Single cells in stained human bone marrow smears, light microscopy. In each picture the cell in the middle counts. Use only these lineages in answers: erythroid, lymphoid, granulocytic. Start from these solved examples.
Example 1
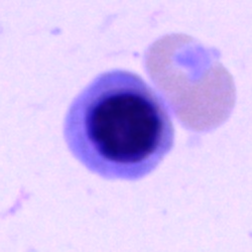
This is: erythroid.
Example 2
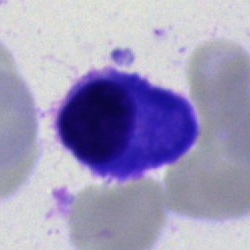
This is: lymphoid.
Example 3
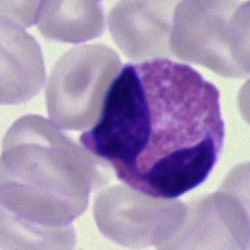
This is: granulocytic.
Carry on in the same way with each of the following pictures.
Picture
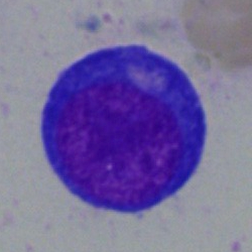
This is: erythroid.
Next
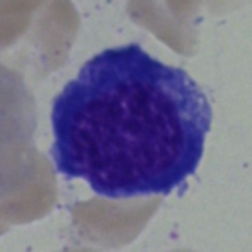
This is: erythroid.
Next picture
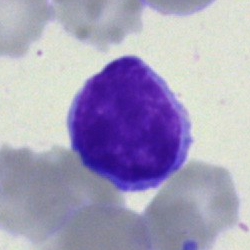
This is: lymphoid.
